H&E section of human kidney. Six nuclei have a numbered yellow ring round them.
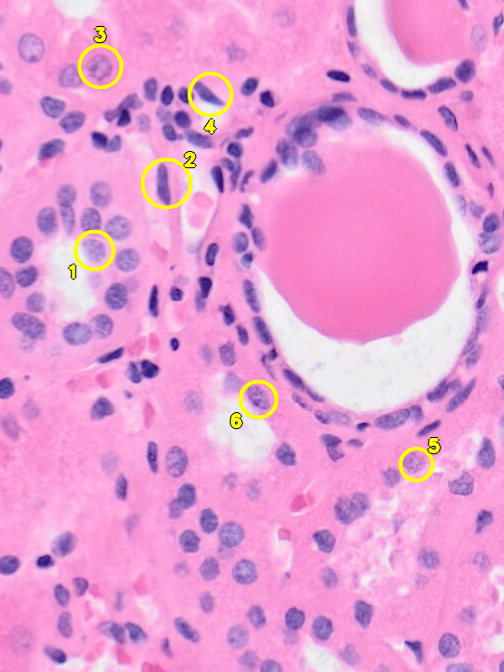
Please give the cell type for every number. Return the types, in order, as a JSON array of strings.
["collecting duct cell", "endothelial cell", "proximal tubule cell", "endothelial cell", "loop of Henle or distal tubule cell", "loop of Henle or distal tubule cell"]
